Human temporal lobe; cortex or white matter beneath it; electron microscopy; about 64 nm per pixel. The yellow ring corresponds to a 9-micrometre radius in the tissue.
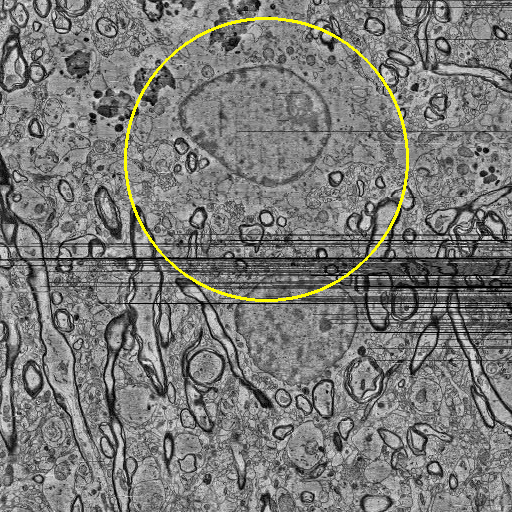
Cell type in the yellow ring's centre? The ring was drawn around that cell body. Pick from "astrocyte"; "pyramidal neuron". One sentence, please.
The ringed cell body is that of an astrocyte.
